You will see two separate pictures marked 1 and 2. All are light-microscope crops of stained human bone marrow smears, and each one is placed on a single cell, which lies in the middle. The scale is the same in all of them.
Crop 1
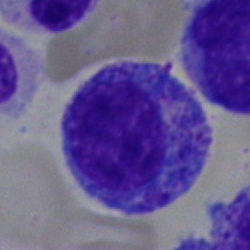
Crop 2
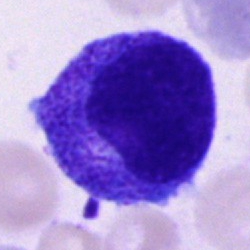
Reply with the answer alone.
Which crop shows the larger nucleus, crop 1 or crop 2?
2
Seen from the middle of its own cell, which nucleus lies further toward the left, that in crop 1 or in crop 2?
1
